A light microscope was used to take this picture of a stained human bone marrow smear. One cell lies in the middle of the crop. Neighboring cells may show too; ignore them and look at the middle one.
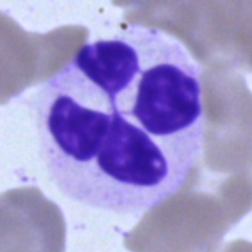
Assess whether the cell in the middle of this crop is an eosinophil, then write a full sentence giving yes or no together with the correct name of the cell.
No, at the centre of this crop is found a segmented neutrophil instead of an eosinophil.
